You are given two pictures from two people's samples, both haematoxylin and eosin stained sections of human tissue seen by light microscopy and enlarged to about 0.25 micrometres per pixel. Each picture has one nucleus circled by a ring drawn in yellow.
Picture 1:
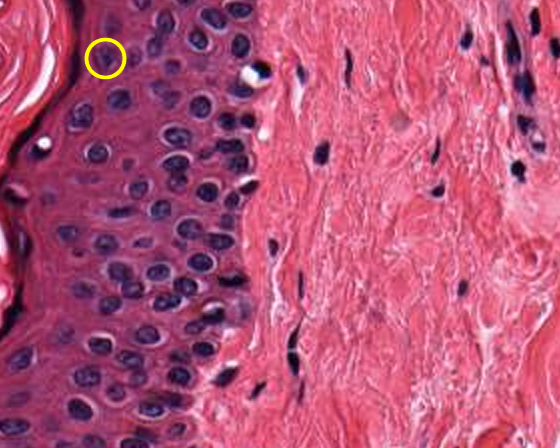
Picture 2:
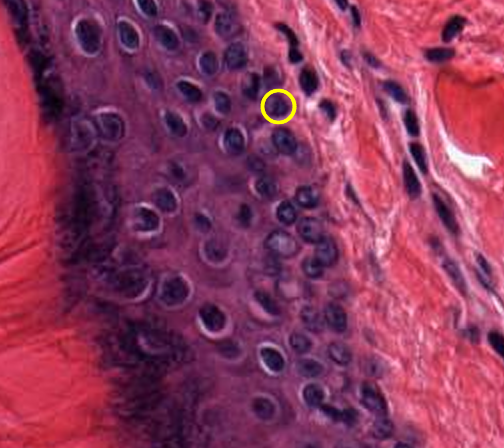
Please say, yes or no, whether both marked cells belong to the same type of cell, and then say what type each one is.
Yes, both are keratinocytes.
